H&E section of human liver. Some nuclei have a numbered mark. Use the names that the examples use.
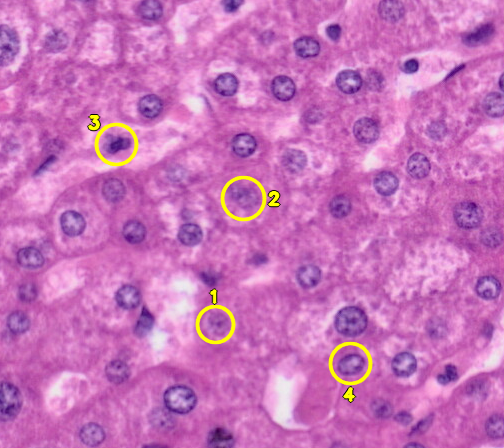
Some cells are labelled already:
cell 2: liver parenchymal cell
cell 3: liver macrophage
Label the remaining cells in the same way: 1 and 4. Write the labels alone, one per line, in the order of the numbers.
liver parenchymal cell
liver parenchymal cell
